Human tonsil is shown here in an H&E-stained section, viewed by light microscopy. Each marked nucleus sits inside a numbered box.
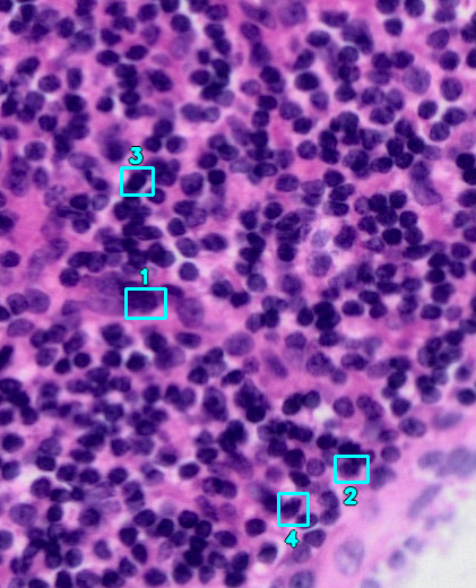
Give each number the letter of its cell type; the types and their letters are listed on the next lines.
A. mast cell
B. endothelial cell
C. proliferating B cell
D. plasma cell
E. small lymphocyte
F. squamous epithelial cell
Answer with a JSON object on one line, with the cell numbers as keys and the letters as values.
{"1": "B", "2": "E", "3": "E", "4": "E"}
